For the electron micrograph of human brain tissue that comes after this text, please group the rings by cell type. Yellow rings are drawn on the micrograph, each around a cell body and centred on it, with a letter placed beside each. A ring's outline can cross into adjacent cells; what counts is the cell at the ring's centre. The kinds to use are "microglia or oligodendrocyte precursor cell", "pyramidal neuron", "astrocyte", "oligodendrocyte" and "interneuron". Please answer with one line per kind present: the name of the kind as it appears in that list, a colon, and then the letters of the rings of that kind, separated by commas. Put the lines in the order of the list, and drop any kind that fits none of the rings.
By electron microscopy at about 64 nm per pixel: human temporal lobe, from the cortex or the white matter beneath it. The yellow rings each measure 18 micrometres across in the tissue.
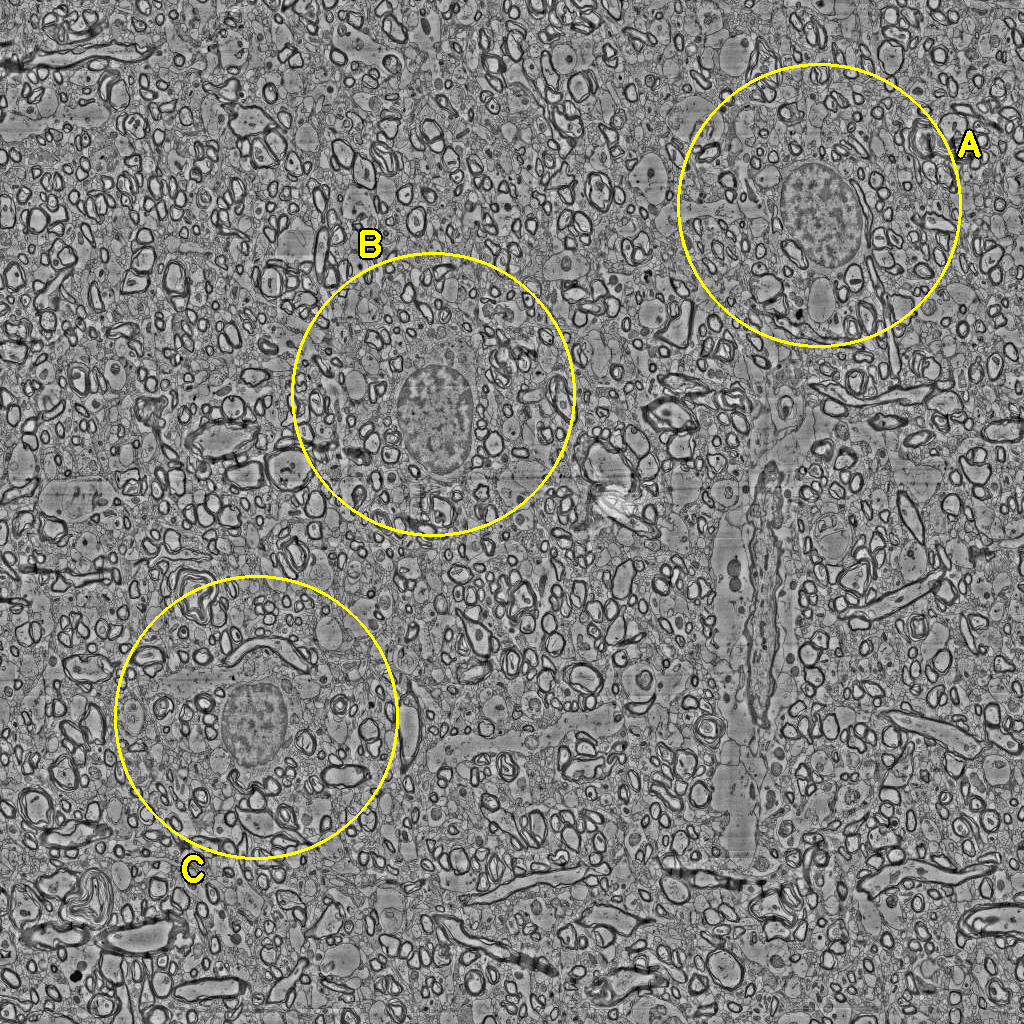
oligodendrocyte: A, B, C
